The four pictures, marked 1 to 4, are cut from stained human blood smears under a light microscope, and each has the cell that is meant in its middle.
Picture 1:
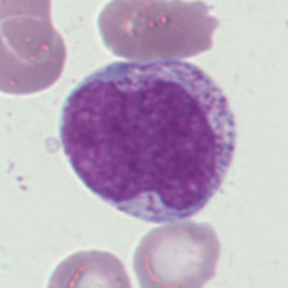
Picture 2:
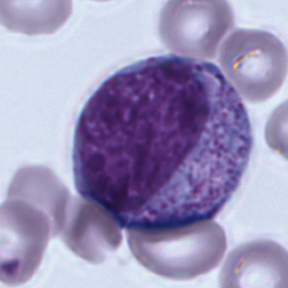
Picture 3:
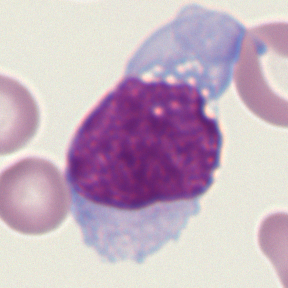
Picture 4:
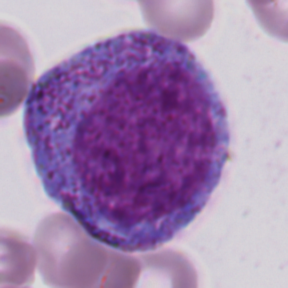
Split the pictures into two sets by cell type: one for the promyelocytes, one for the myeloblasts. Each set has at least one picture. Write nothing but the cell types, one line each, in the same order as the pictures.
promyelocyte
promyelocyte
myeloblast
promyelocyte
